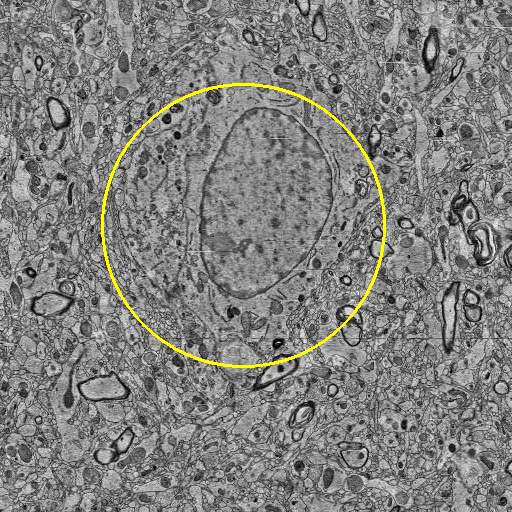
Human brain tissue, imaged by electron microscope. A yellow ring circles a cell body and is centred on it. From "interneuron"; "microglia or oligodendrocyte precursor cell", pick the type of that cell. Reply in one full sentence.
The cell body at the centre of the yellow ring belongs to a microglial cell or oligodendrocyte precursor cell.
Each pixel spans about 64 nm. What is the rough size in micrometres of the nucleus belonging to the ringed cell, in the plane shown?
The nucleus comes to approximately 13 by 8 micrometres and is clearly longer than it is wide in this plane.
